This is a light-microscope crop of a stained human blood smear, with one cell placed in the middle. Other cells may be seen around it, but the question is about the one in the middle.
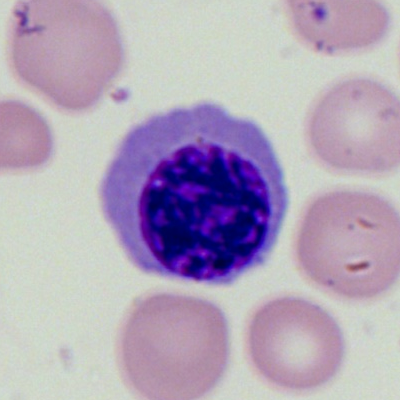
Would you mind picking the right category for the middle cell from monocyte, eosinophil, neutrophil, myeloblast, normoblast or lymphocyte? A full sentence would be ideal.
Classification of the middle cell gives a normoblast.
